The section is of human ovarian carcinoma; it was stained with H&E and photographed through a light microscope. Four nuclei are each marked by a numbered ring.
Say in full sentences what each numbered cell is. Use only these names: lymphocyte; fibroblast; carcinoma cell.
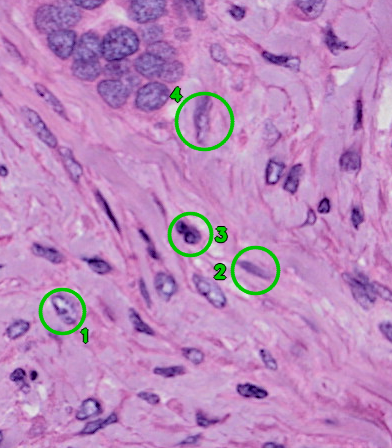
Cells 1, 2 and 4 are fibroblasts. Cell 3 is a lymphocyte.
